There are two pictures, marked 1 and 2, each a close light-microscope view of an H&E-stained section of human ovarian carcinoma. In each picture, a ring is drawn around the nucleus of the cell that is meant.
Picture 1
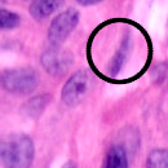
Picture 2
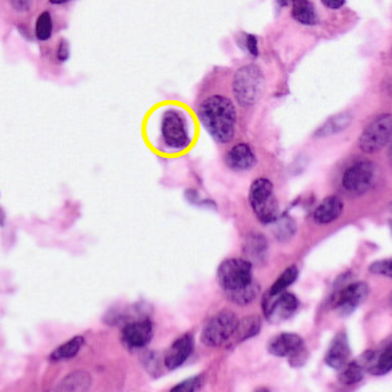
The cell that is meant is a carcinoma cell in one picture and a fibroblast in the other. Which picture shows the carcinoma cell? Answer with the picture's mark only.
2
